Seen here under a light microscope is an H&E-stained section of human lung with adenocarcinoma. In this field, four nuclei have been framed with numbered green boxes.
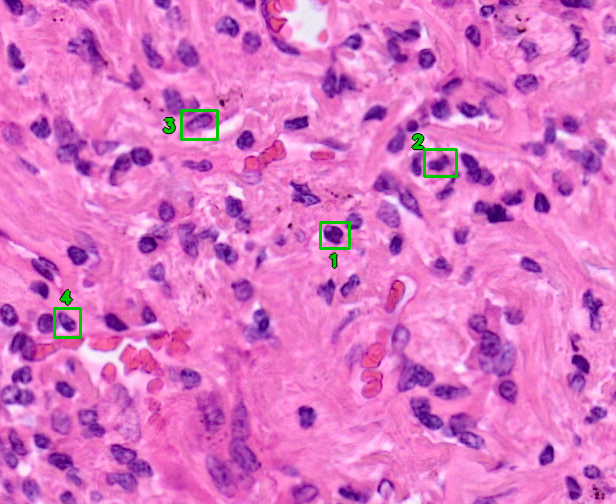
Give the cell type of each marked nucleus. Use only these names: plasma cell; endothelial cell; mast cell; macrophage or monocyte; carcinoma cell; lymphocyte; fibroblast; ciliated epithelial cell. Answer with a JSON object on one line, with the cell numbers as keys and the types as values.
{"1": "lymphocyte", "2": "lymphocyte", "3": "plasma cell", "4": "lymphocyte"}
